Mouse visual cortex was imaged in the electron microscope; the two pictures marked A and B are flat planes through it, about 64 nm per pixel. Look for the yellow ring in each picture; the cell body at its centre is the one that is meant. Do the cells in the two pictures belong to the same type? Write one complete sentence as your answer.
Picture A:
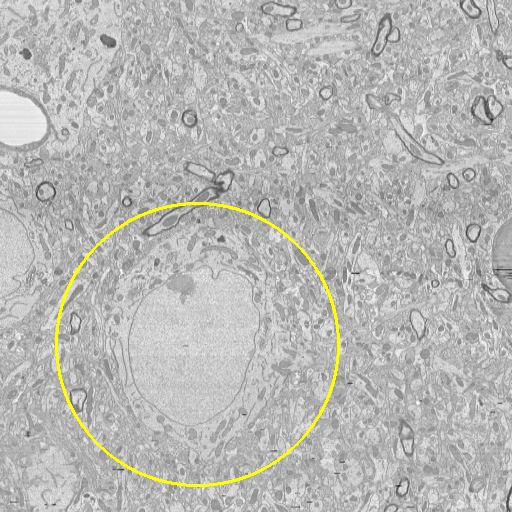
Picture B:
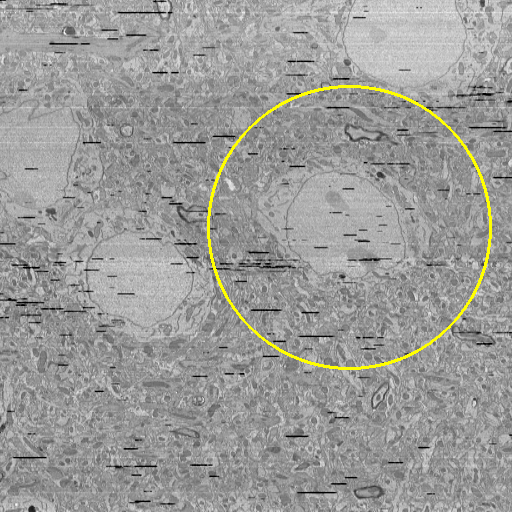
Yes, they are the same type: both are excitatory neurons.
